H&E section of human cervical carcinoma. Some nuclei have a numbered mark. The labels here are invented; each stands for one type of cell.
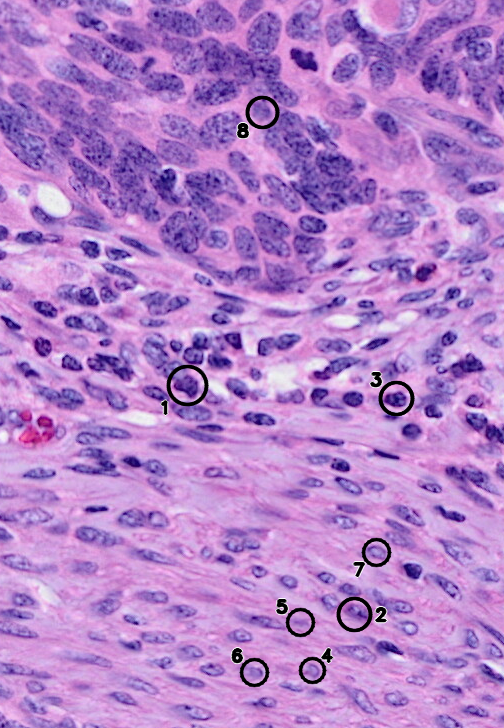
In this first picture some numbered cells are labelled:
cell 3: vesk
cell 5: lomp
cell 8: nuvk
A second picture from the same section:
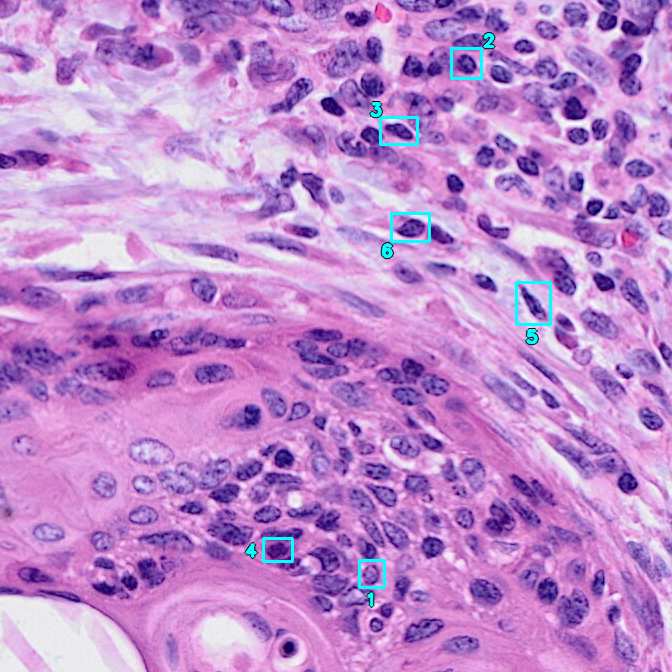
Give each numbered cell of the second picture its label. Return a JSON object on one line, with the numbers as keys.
{"1": "nuvk", "2": "vesk", "3": "vesk", "4": "nuvk", "5": "vesk", "6": "vesk"}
